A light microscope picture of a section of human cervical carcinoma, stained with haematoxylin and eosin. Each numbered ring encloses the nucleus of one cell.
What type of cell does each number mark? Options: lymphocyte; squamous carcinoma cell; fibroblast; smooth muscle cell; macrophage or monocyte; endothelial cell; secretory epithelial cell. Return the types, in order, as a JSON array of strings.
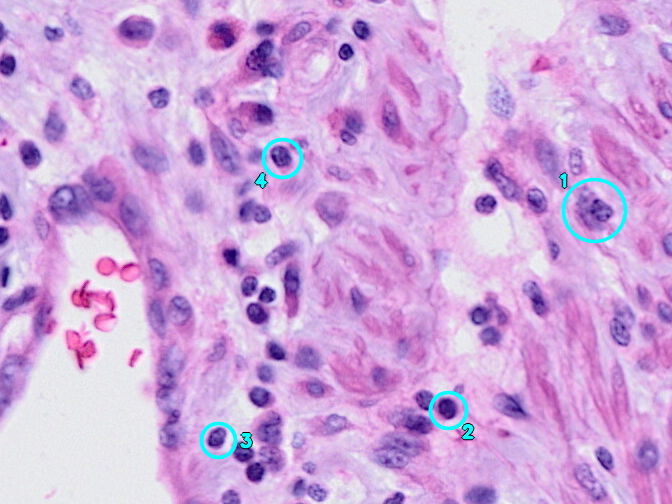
["macrophage or monocyte", "lymphocyte", "lymphocyte", "lymphocyte"]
